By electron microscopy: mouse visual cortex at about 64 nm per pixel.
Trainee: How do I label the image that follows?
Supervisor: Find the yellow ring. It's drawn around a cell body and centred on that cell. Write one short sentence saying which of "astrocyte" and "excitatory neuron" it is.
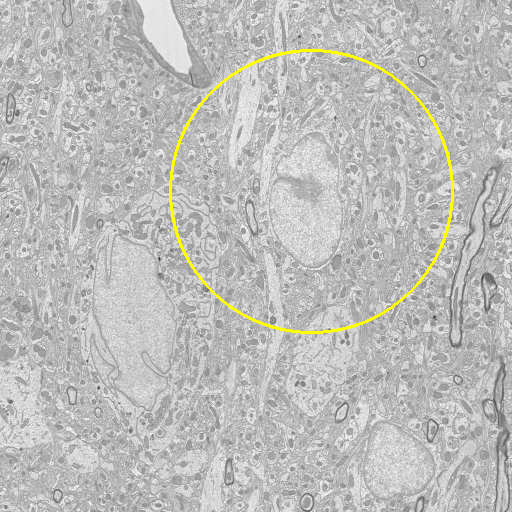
This is the cell body of an astrocyte.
